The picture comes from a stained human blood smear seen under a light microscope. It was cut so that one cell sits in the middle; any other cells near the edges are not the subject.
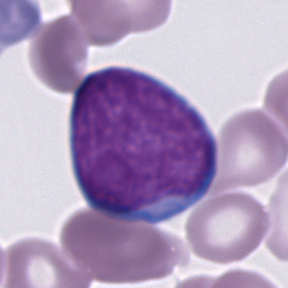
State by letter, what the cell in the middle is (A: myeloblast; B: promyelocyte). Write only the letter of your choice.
A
